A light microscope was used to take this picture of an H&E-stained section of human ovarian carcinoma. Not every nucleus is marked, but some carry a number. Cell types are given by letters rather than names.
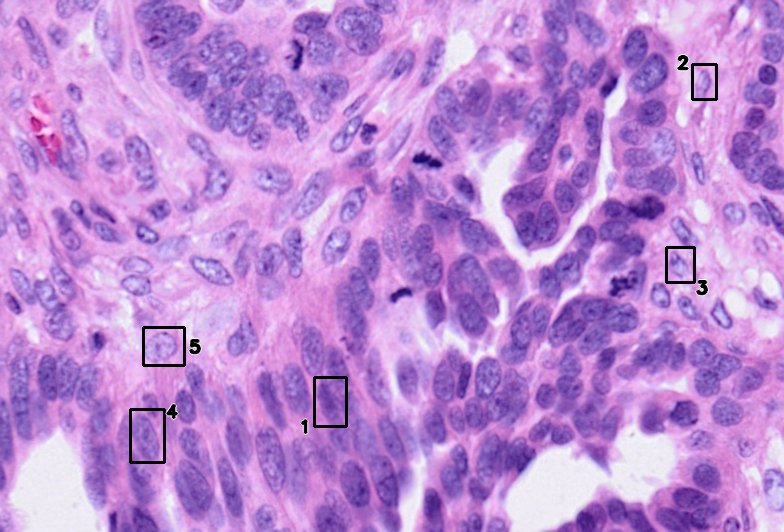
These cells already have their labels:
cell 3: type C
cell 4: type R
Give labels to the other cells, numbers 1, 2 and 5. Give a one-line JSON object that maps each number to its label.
{"1": "type R", "2": "type C", "5": "type C"}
